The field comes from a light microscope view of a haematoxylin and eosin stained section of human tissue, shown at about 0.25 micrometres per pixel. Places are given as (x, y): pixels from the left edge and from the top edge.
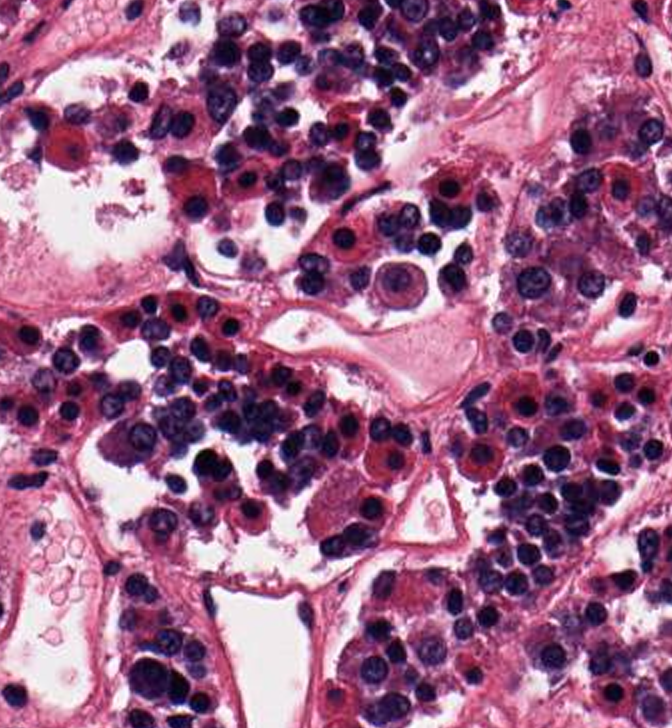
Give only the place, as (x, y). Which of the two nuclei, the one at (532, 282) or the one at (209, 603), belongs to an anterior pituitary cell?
(532, 282)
